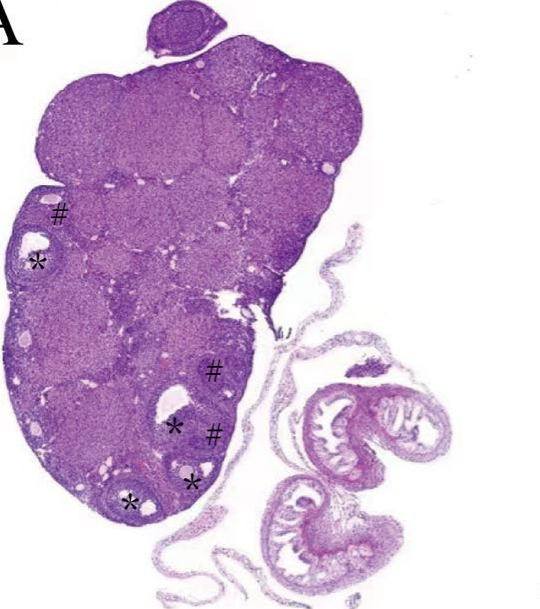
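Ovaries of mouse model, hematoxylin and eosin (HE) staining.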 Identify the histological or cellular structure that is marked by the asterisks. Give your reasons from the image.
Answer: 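The cavity is ringed by a dense, dark purple layer of small cells. These structures sit near the ovarian surface. That points to this answer: developing follicles.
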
